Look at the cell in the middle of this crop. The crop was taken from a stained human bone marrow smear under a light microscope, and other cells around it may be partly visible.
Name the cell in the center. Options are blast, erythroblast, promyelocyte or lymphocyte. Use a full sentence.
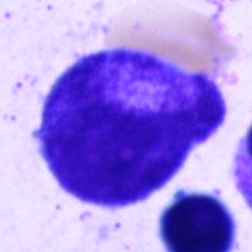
The cell shown in the center of this light-microscope crop is a promyelocyte.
